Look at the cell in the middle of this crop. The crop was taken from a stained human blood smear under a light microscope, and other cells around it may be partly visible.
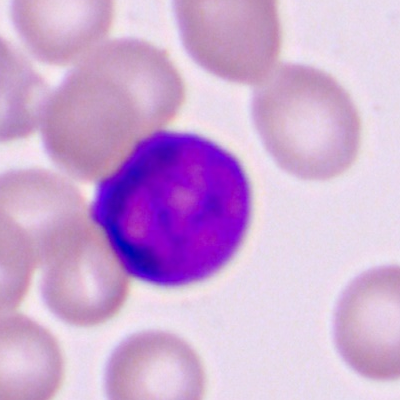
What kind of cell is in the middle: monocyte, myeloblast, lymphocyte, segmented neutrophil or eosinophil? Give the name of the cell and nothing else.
myeloblast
